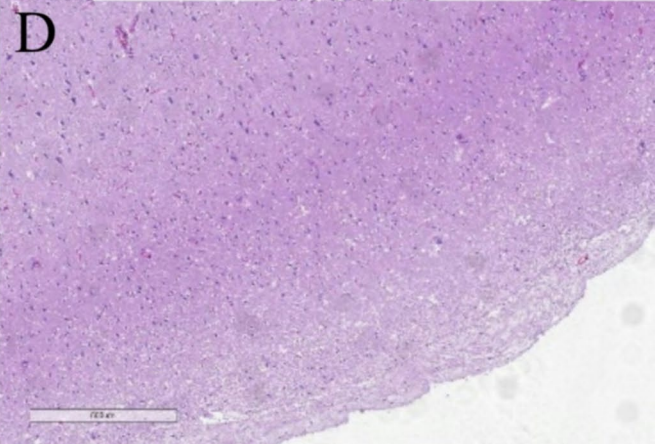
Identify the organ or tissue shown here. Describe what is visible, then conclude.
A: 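Brain. Pale, finely fibrillar pink matrix with scattered small nuclei. A thin surface covering along one edge.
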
